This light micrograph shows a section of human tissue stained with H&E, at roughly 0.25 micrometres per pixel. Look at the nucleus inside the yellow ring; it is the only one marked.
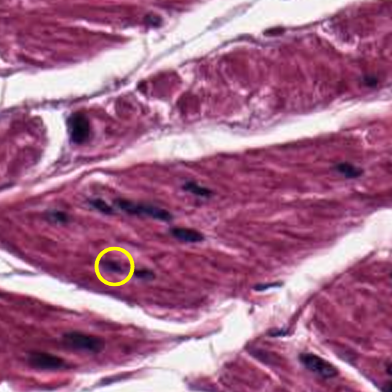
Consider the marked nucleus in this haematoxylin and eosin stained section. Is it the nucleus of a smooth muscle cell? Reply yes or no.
yes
